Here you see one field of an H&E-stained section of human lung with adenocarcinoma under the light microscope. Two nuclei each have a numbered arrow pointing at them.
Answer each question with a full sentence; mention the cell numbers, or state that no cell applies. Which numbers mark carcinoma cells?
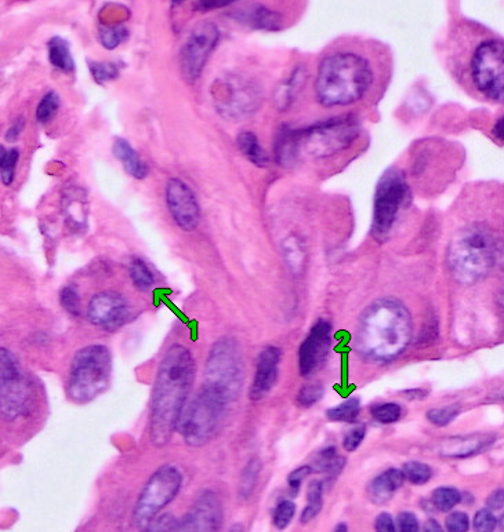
Cell 1 is a carcinoma cell; the remaining numbered cells are not.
